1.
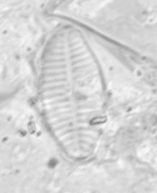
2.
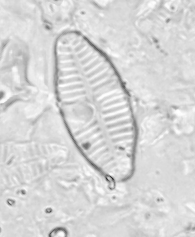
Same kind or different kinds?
Same: Planothidium.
